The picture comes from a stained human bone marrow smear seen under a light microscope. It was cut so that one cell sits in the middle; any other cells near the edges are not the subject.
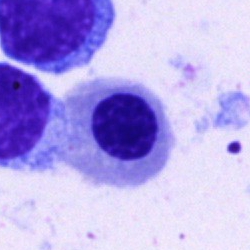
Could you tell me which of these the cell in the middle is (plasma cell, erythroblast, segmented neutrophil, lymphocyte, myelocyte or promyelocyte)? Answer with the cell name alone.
erythroblast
